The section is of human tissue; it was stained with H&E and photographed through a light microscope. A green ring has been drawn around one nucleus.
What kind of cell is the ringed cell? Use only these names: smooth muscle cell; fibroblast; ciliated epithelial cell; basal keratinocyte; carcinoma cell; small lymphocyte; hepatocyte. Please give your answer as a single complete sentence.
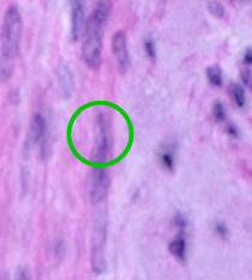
In cell-type terms, the ringed cell is a smooth muscle cell.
